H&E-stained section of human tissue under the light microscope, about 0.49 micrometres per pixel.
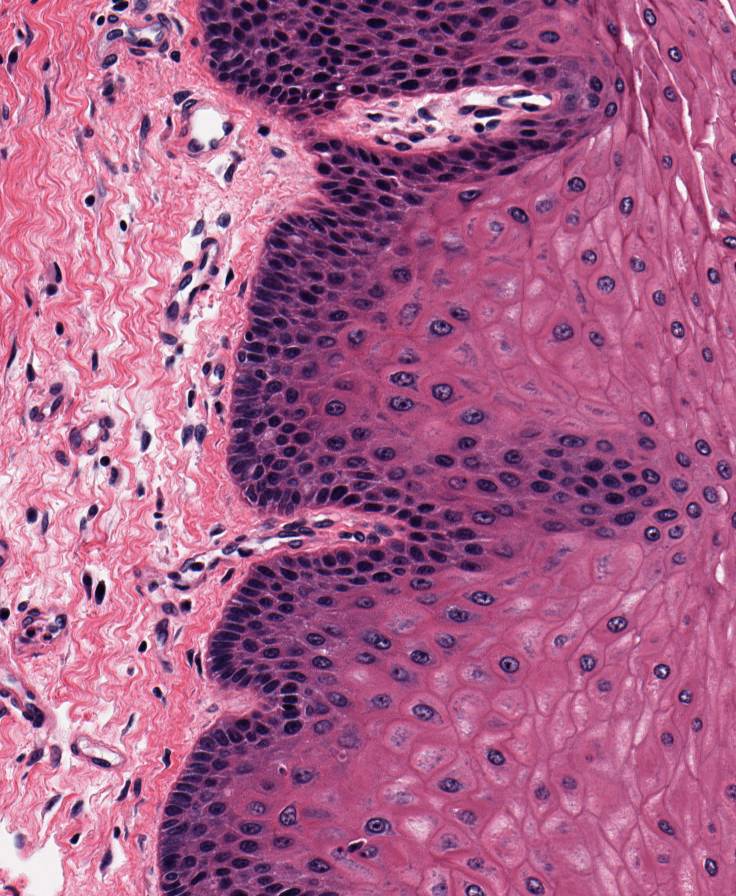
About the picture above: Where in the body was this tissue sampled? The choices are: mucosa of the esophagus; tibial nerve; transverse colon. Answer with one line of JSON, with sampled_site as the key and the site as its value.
{"sampled_site": "mucosa of the esophagus"}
